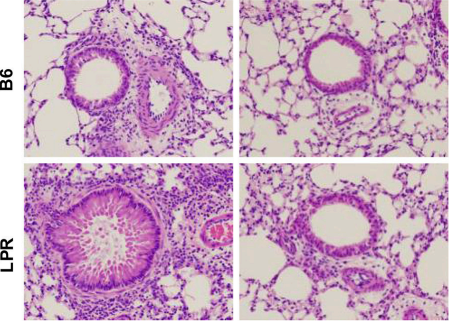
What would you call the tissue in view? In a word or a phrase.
Lungs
